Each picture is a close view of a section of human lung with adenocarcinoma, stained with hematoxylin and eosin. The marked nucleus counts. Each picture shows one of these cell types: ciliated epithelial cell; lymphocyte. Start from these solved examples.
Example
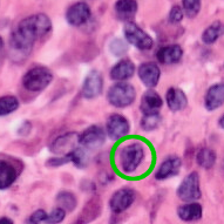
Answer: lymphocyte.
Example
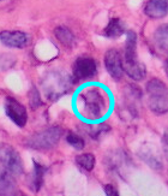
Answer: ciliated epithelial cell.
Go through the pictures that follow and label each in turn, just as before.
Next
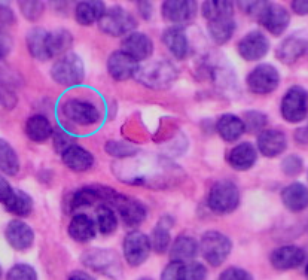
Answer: lymphocyte.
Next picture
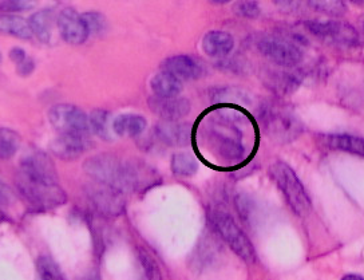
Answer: ciliated epithelial cell.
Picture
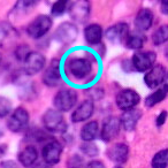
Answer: lymphocyte.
